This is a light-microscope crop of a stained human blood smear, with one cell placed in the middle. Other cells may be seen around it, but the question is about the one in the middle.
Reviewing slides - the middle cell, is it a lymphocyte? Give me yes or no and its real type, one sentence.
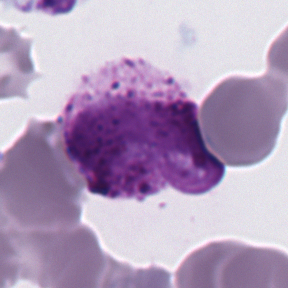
No, the label for the central cell is a basophil, not a lymphocyte.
